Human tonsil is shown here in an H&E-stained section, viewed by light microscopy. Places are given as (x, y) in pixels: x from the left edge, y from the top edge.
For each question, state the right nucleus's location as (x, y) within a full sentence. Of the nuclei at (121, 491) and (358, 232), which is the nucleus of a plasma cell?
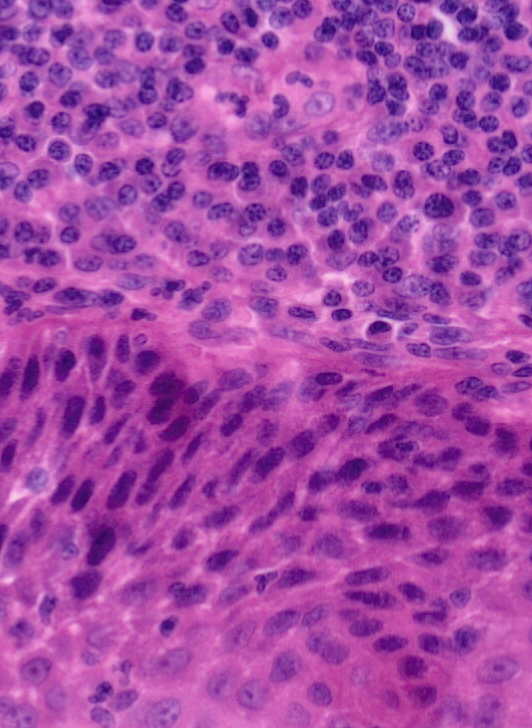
Of the two, the nucleus lying at (358, 232) is the one belonging to a plasma cell.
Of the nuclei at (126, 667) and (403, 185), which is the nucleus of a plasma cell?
Lying within a plasma cell is the nucleus at (403, 185).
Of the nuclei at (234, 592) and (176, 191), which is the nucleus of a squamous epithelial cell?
The nucleus at (234, 592), rather than the other, belongs to a squamous epithelial cell.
